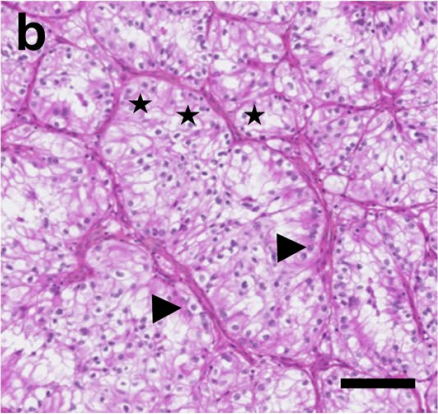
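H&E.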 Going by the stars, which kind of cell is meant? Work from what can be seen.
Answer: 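Densely packed cells with pale, clear cytoplasm and small round nuclei. The cells fill nests separated by thin pink strands. That points to this answer: tumor cells.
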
